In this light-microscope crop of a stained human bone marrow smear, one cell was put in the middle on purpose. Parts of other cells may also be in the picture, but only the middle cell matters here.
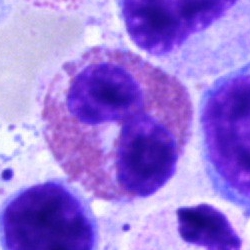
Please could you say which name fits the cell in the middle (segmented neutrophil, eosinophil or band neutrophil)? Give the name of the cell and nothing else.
eosinophil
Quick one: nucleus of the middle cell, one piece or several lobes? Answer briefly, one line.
This cell has a nucleus made up of two or more segments.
